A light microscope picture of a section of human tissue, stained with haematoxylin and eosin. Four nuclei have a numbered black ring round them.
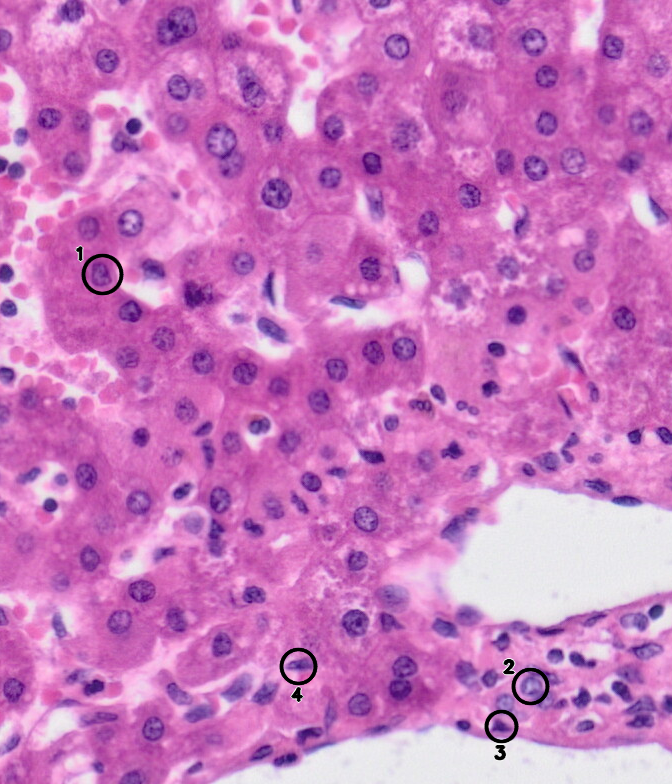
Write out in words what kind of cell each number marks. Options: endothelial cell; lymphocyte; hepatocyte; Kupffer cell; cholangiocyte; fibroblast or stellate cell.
Cell 1 is a hepatocyte, cell 2 is a cholangiocyte, cell 3 is a fibroblast or stellate cell and cell 4 is a fibroblast or stellate cell.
